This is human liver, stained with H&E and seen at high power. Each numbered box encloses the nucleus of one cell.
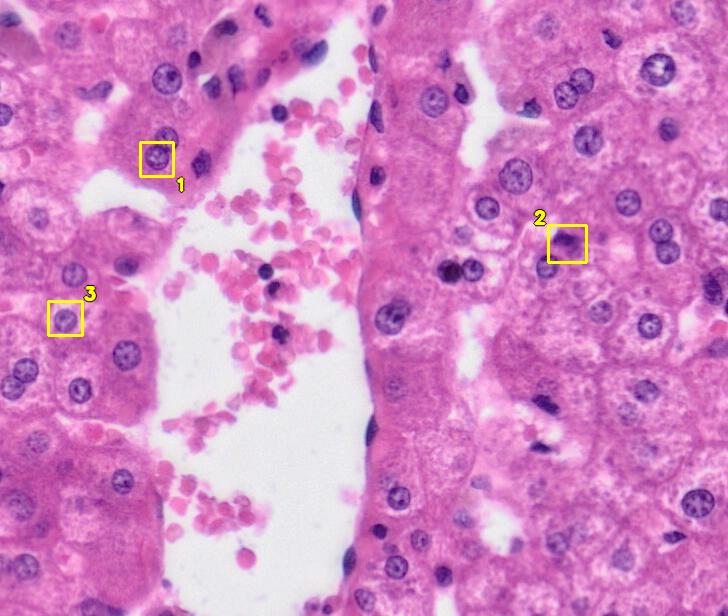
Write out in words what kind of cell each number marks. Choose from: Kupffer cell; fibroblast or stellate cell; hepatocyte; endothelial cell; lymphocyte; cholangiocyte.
Cells 1 and 3 are hepatocytes. Cell 2 is a fibroblast or stellate cell.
